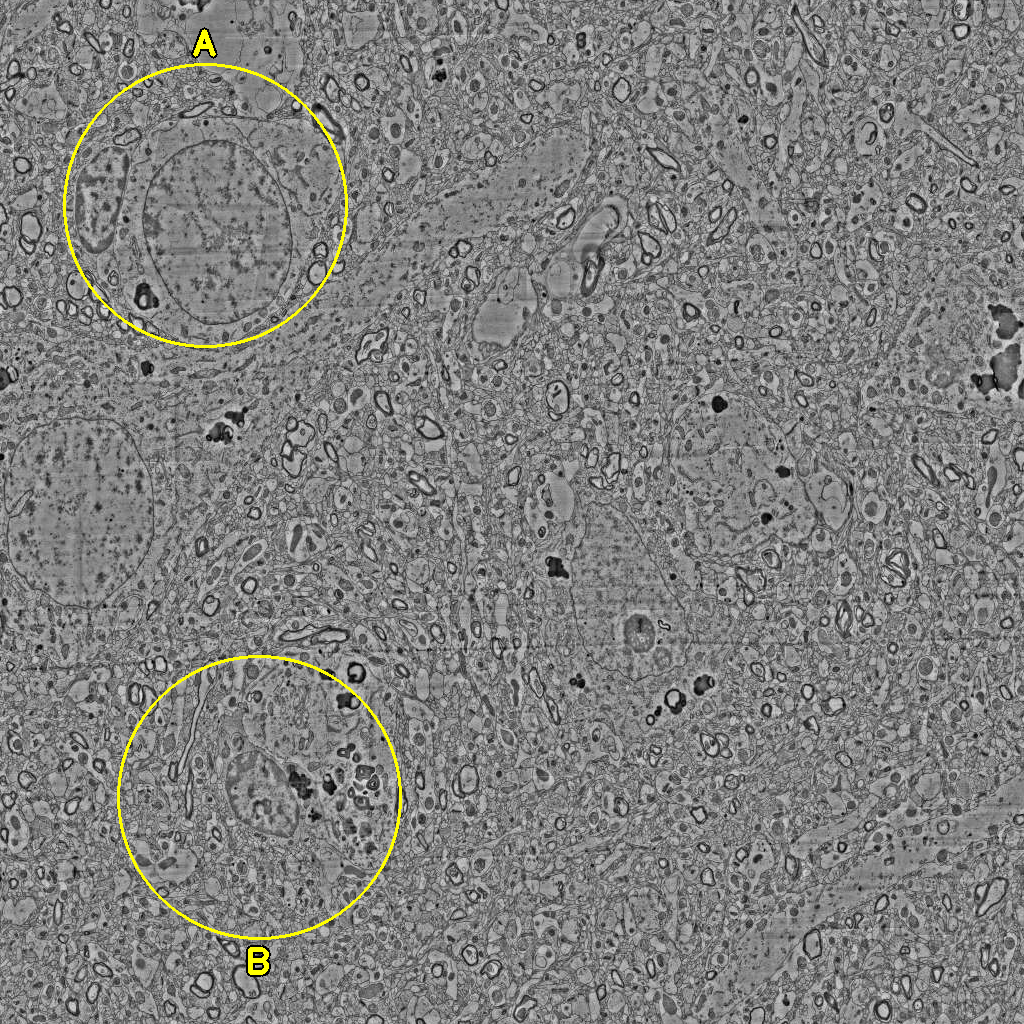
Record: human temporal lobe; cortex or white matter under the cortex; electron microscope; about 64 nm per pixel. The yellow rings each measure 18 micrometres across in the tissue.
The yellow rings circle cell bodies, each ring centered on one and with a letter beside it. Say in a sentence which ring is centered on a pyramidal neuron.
Ring A is centered on it.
